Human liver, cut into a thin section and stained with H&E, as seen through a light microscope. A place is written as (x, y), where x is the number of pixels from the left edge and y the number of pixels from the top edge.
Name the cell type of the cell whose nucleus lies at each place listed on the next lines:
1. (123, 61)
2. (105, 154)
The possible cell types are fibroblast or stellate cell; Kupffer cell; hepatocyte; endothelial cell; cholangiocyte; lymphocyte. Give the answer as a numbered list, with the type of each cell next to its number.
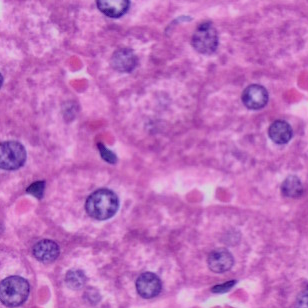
1. hepatocyte
2. lymphocyte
